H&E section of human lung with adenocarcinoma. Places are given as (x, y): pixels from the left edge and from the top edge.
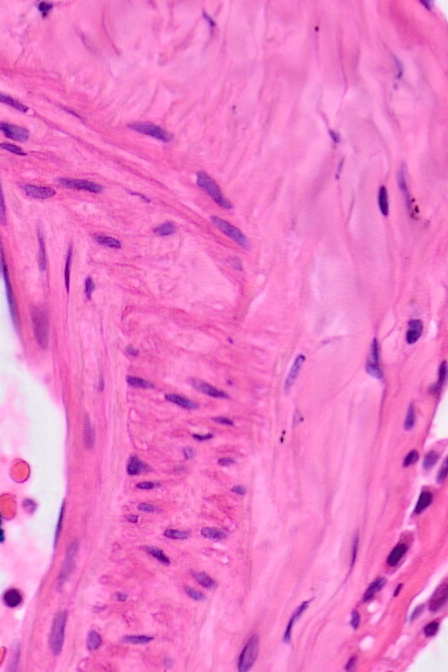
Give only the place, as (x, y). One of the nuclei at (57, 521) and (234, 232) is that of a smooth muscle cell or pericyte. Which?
(234, 232)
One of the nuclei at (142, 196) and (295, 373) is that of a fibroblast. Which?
(295, 373)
